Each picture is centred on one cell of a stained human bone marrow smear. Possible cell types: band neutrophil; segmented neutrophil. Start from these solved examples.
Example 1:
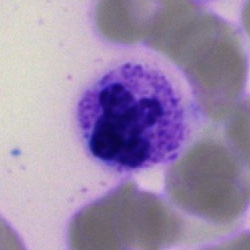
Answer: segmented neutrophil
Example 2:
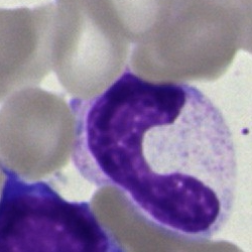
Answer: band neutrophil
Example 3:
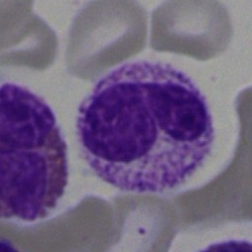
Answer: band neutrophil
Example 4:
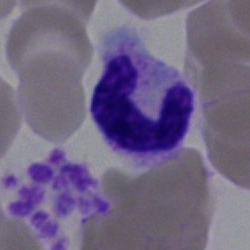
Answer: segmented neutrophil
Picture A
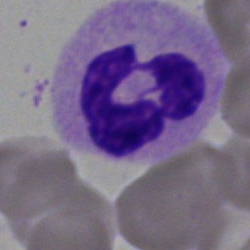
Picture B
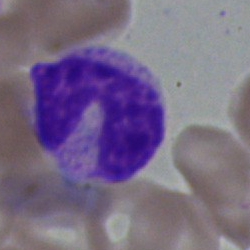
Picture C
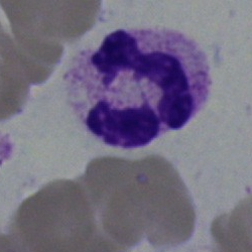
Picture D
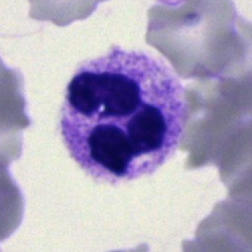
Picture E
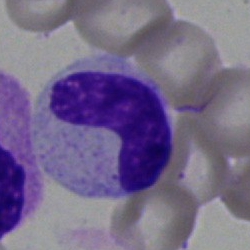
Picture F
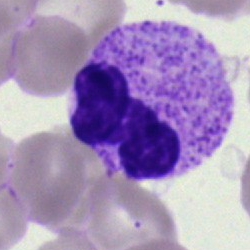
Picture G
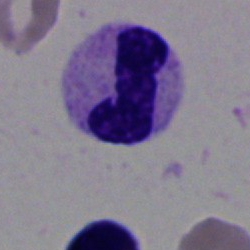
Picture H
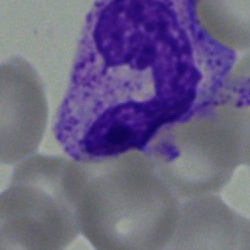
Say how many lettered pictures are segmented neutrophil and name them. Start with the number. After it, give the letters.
4: A, C, D, F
